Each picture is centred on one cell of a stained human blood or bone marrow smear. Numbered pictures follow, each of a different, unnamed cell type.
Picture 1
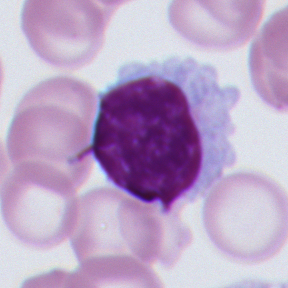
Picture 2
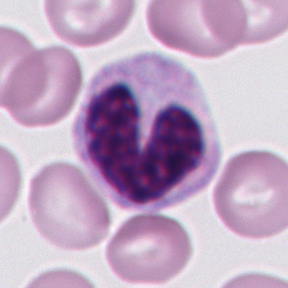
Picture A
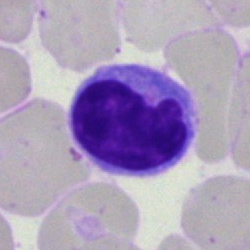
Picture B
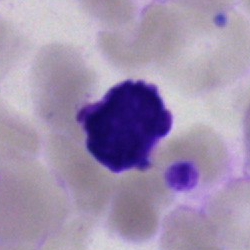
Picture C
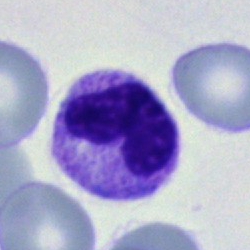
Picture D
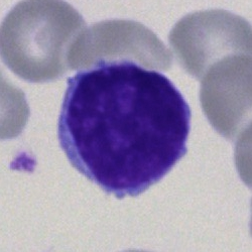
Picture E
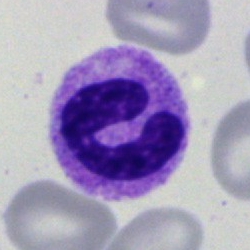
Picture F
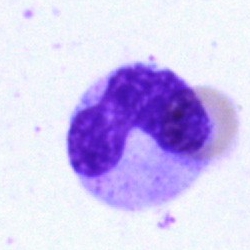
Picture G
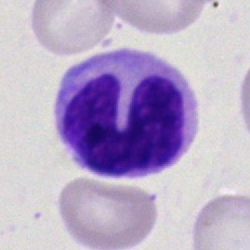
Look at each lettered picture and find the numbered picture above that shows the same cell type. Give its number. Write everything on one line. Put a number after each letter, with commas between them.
A 1, B 1, C 2, D 1, E 2, F 2, G 2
